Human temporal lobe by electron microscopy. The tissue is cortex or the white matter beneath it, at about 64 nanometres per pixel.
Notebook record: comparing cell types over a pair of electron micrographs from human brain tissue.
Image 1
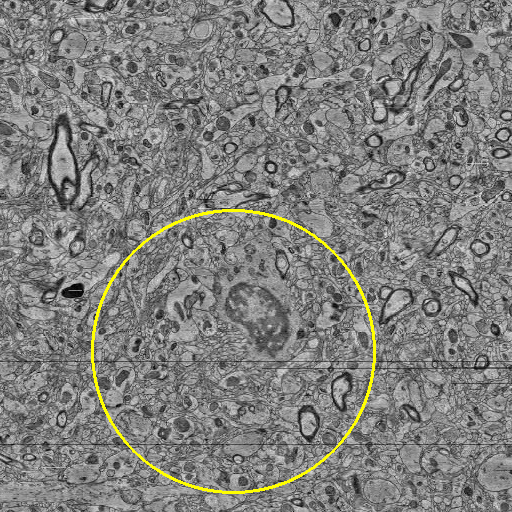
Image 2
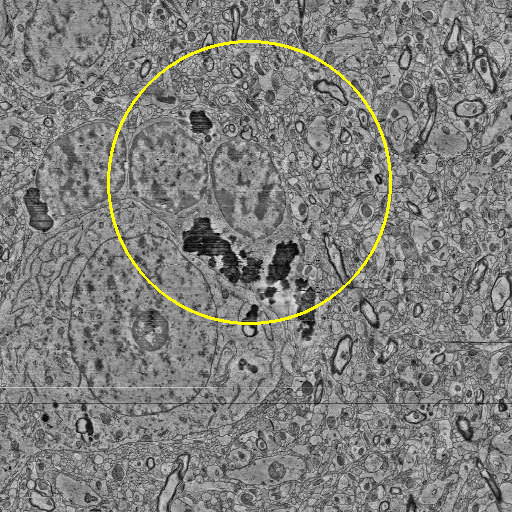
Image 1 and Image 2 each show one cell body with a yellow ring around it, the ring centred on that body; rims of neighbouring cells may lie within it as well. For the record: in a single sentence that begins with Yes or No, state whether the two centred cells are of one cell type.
Yes, one cell type is shared by the centred cells of Image 1 and Image 2.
